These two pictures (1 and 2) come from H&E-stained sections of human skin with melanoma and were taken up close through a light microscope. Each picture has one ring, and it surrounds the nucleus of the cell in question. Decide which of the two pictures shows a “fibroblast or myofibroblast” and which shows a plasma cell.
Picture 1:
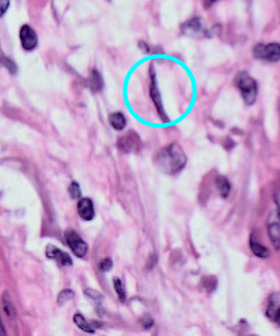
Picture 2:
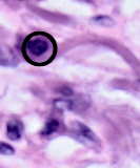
1: fibroblast or myofibroblast
2: plasma cell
